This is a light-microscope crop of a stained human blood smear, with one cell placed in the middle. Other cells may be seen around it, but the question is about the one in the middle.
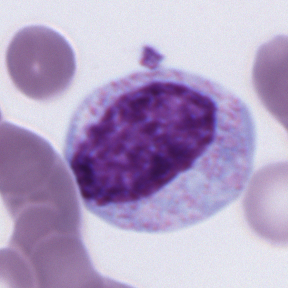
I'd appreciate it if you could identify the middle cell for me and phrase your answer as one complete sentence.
This crop has a myelocyte at its centre.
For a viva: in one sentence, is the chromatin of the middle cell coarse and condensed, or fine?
Answer: the chromatin in this nucleus is coarsely clumped.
